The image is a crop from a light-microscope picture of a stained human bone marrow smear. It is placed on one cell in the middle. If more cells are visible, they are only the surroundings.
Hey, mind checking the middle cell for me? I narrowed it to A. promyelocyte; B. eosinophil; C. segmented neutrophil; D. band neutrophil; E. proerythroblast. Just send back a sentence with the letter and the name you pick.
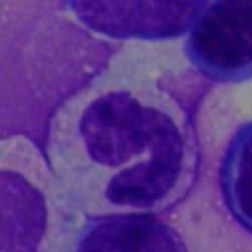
What sits in the middle of the crop is a segmented neutrophil, and option C is correct.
